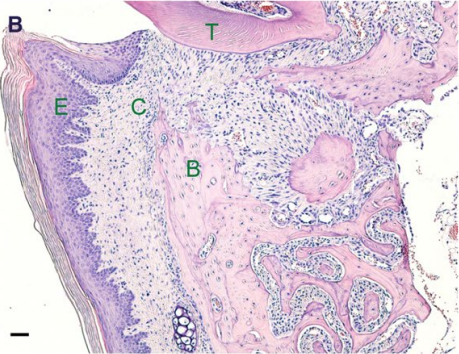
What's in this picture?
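The section shows gingival epithelium, connective tissue, alveolar bone and part of a tooth. On the left, a thick stratified epithelium with densely packed purple nuclei is covered by a thin flaky surface layer. Beneath it lies a pale pink connective tissue with scattered nuclei. Further in, pink bone with small lacunae forms trabeculae that enclose spaces filled with cell-rich tissue.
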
